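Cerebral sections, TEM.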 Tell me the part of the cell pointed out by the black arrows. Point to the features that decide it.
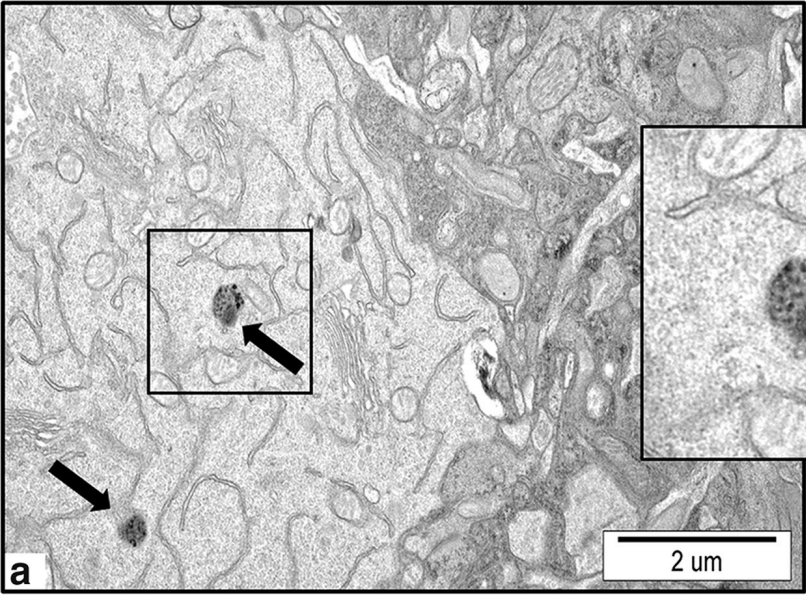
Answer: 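Lysosomes. The arrows point to small round electron-dense membrane-bound bodies in the cytoplasm. The enlarged body in the inset holds many small black round granules.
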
